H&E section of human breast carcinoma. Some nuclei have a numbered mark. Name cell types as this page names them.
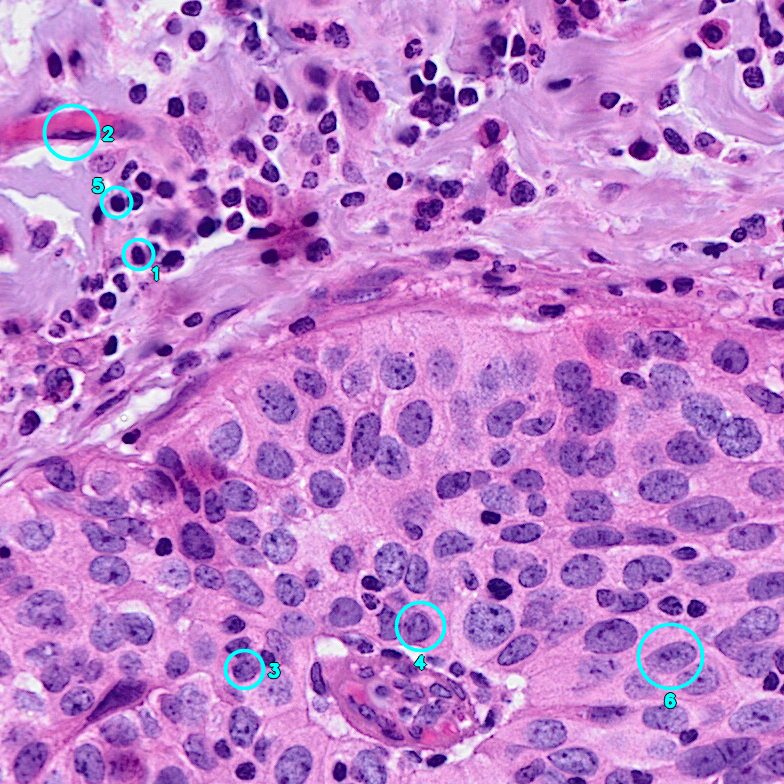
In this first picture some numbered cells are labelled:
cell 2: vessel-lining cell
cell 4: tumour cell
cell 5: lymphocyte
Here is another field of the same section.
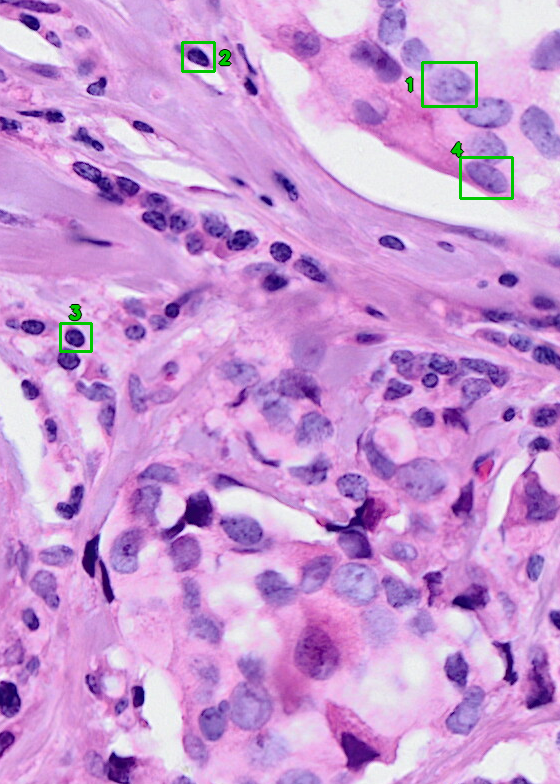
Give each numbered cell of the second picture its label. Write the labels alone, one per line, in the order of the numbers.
tumour cell
lymphocyte
lymphocyte
tumour cell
